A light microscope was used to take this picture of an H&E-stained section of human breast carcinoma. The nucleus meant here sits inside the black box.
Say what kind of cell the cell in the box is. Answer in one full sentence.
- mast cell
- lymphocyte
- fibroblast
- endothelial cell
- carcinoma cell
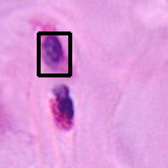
Right, so the cell in the box is a mast cell, to answer that.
